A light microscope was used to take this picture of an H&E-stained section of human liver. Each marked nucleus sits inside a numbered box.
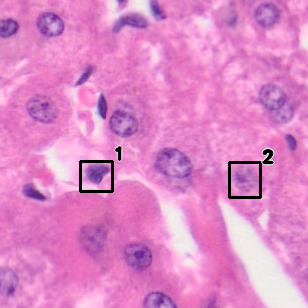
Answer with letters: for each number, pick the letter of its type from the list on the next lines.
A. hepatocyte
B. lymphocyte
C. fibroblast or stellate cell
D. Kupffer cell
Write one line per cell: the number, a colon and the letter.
1: C
2: A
